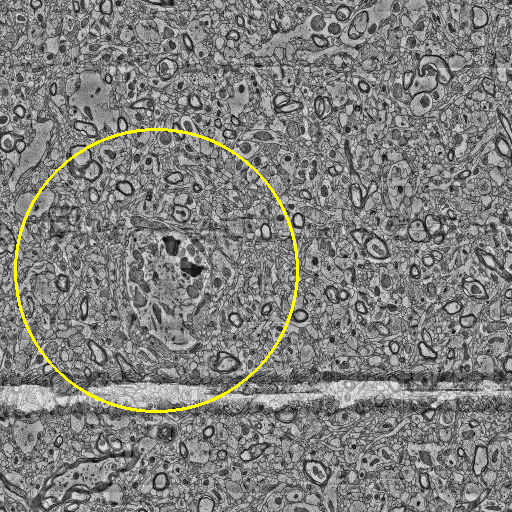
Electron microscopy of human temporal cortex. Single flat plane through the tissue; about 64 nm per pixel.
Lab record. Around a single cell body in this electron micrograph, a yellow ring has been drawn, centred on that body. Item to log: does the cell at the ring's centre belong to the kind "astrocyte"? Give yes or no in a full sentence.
Yes, in the micrograph, the ringed cell at the centre belongs to that kind.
